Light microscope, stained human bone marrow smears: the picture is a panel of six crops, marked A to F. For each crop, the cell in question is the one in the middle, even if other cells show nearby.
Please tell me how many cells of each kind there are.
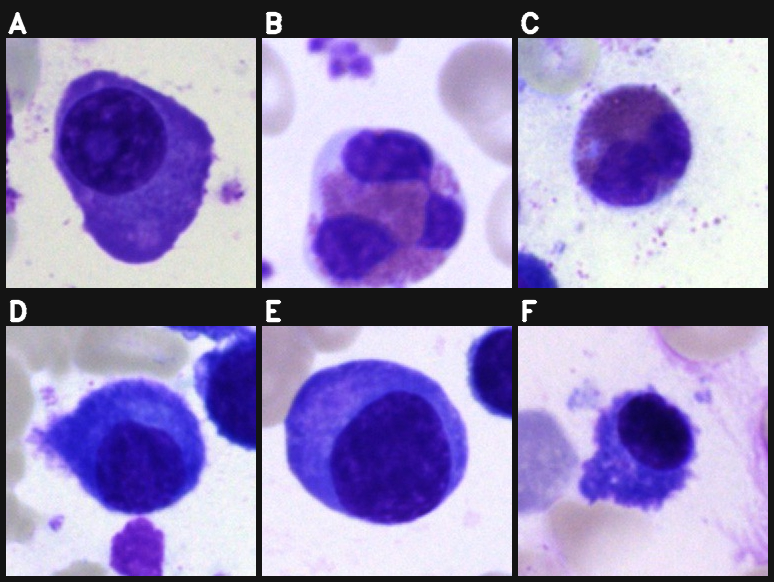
plasma cell: 4
eosinophil: 2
